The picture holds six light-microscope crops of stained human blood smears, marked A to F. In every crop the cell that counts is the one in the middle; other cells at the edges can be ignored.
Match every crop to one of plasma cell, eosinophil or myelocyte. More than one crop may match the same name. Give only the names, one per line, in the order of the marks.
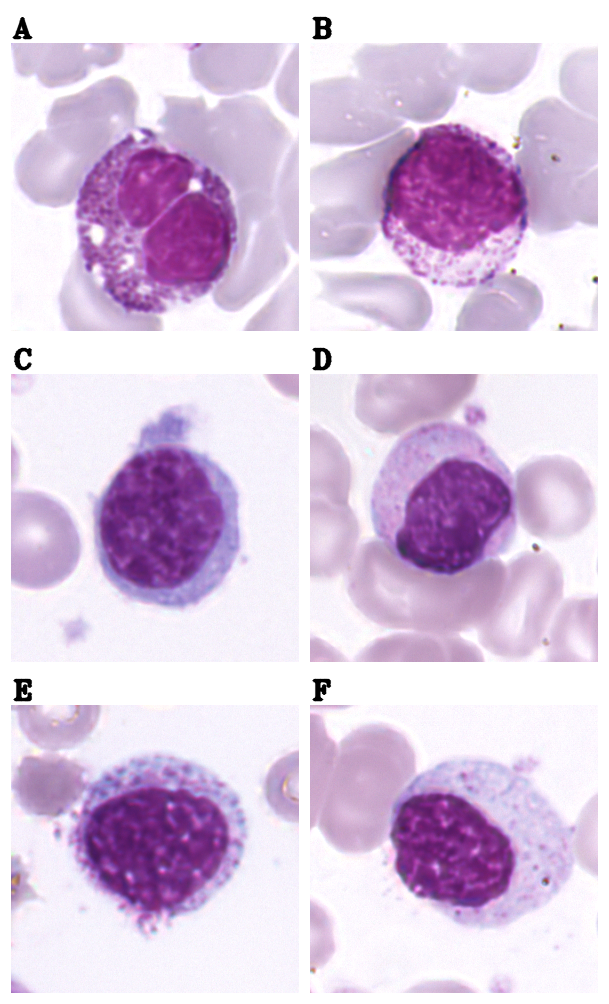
eosinophil
myelocyte
plasma cell
myelocyte
myelocyte
myelocyte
